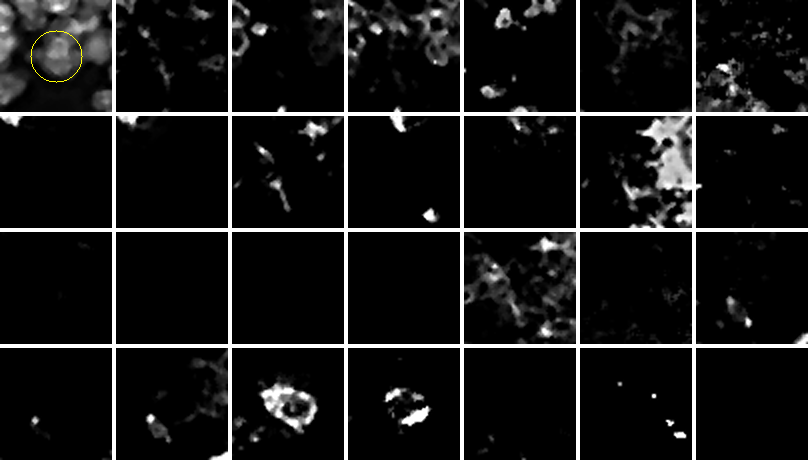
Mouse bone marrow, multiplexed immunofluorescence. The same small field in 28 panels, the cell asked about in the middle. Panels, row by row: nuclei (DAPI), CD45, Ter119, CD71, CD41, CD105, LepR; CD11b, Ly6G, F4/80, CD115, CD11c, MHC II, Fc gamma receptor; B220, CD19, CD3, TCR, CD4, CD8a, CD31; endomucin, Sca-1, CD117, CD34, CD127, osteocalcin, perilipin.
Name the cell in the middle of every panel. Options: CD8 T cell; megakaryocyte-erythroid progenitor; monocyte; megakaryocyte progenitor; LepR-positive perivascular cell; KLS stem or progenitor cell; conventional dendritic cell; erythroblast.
KLS stem or progenitor cell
